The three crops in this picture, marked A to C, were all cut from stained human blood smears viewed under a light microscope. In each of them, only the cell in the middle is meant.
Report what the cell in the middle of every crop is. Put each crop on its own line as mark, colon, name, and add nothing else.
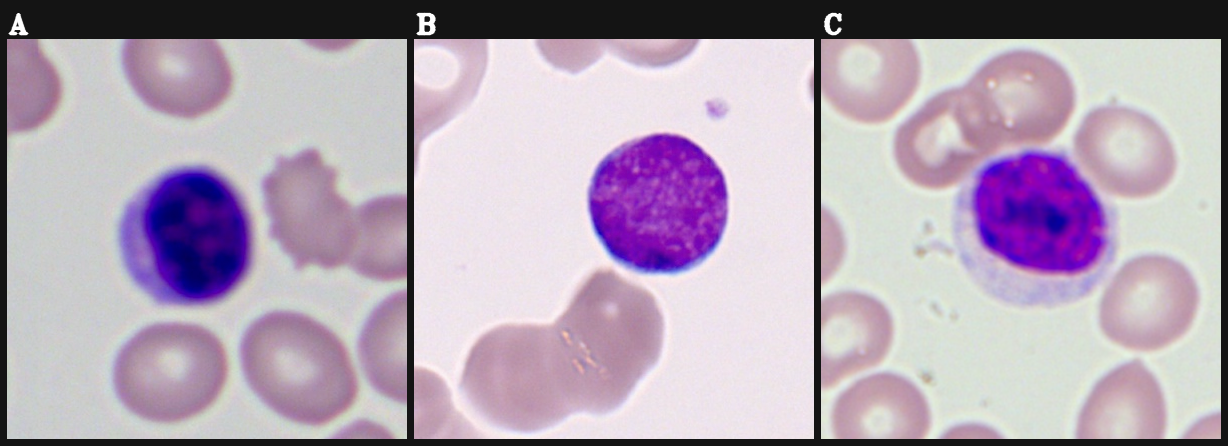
A: lymphocyte
B: myeloblast
C: lymphocyte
